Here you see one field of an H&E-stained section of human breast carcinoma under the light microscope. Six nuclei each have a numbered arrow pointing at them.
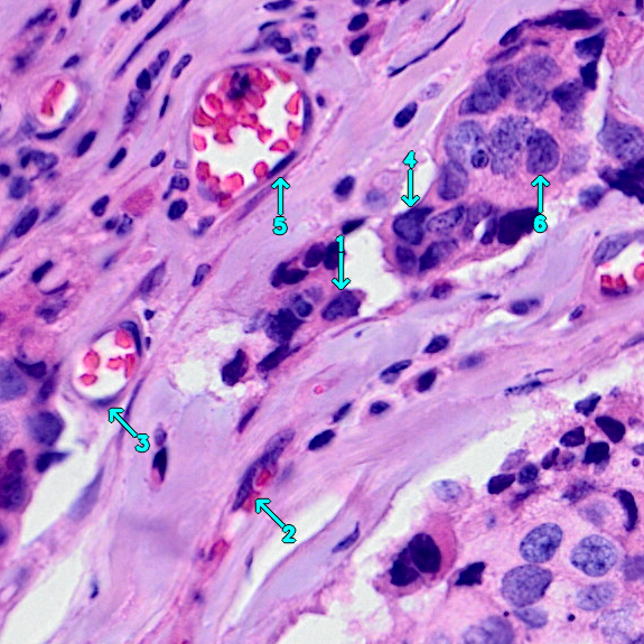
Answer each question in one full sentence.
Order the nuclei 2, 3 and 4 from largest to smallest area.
From largest to smallest, the order is 4, 2, 3.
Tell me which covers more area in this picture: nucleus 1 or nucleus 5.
The larger nucleus is 1, at roughly 3 times the area of 5.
